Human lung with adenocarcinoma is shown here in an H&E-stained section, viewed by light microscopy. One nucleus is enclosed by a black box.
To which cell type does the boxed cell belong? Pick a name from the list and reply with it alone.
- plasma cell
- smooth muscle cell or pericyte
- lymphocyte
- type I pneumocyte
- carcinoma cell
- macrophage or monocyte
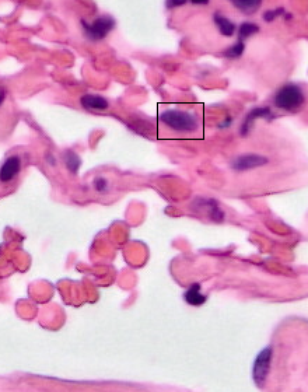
type I pneumocyte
